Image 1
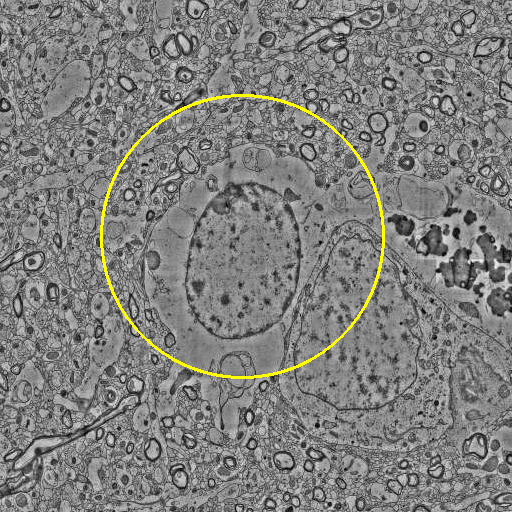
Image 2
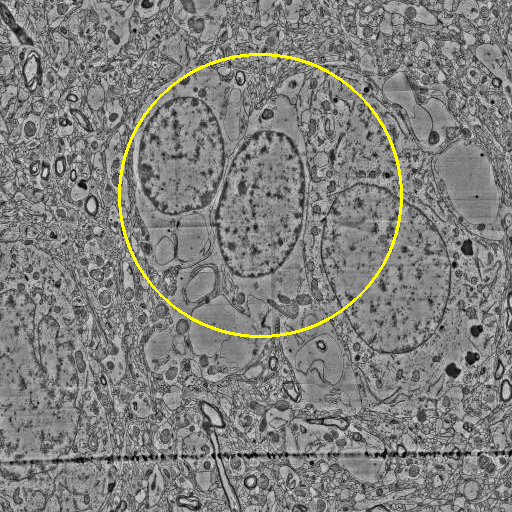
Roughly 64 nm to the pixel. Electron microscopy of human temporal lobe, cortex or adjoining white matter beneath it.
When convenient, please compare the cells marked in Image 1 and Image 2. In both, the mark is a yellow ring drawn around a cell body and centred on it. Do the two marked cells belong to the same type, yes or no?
yes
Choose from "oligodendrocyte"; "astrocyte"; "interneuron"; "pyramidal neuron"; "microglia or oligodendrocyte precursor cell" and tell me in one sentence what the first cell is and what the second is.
Each of the two cells is an astrocyte.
